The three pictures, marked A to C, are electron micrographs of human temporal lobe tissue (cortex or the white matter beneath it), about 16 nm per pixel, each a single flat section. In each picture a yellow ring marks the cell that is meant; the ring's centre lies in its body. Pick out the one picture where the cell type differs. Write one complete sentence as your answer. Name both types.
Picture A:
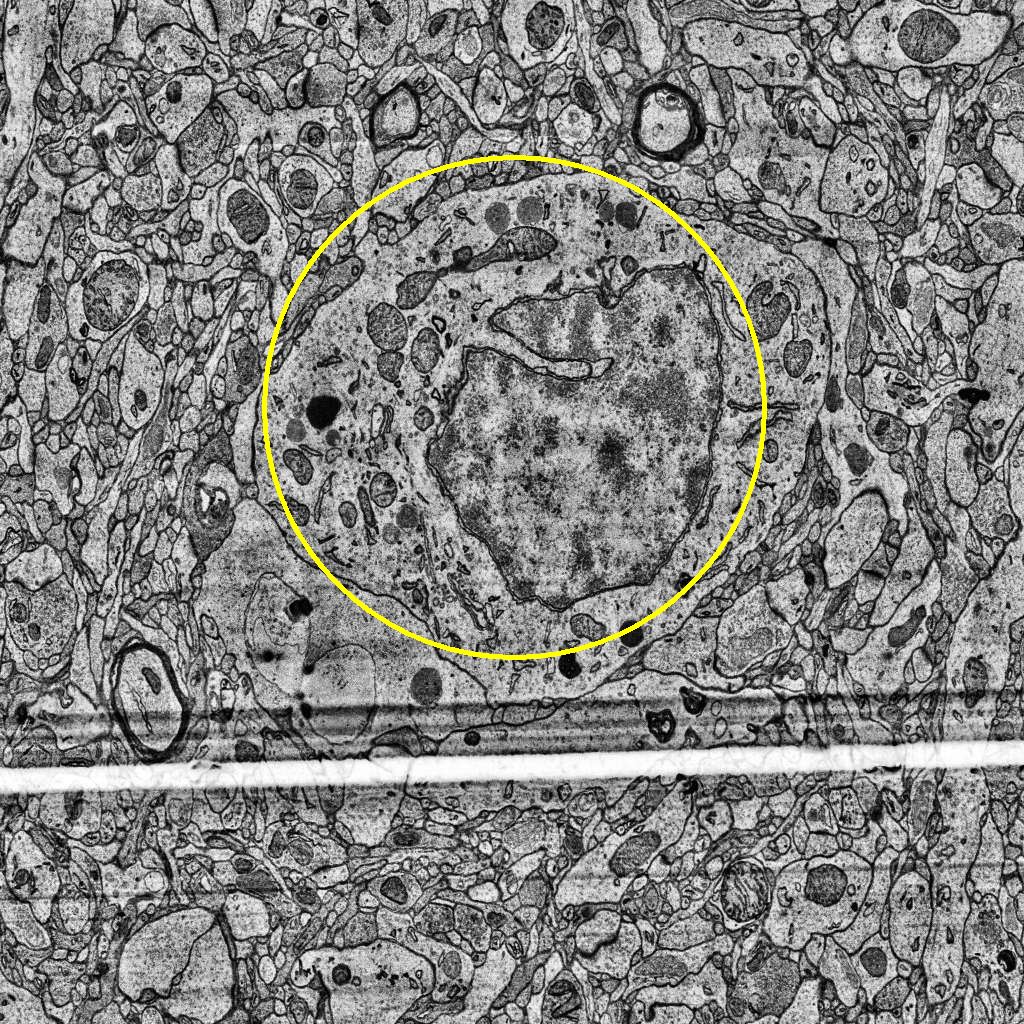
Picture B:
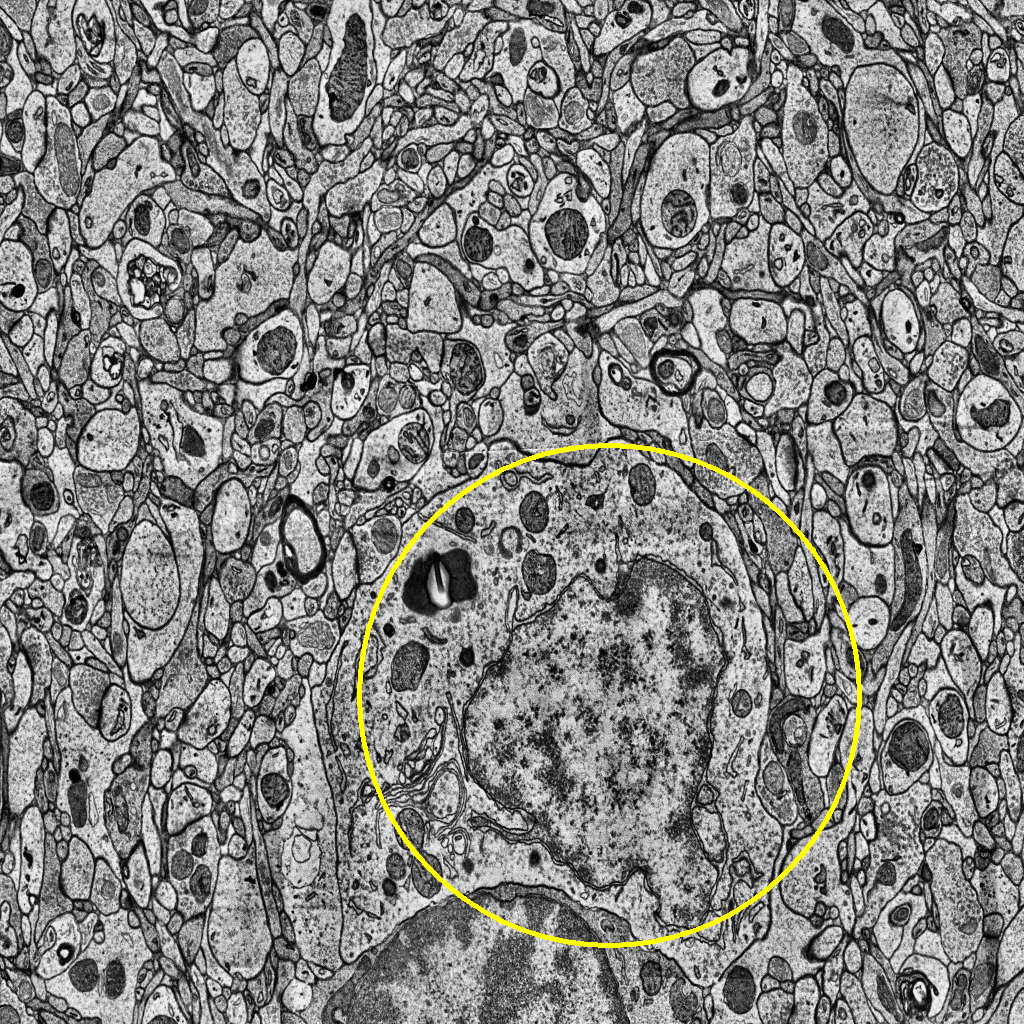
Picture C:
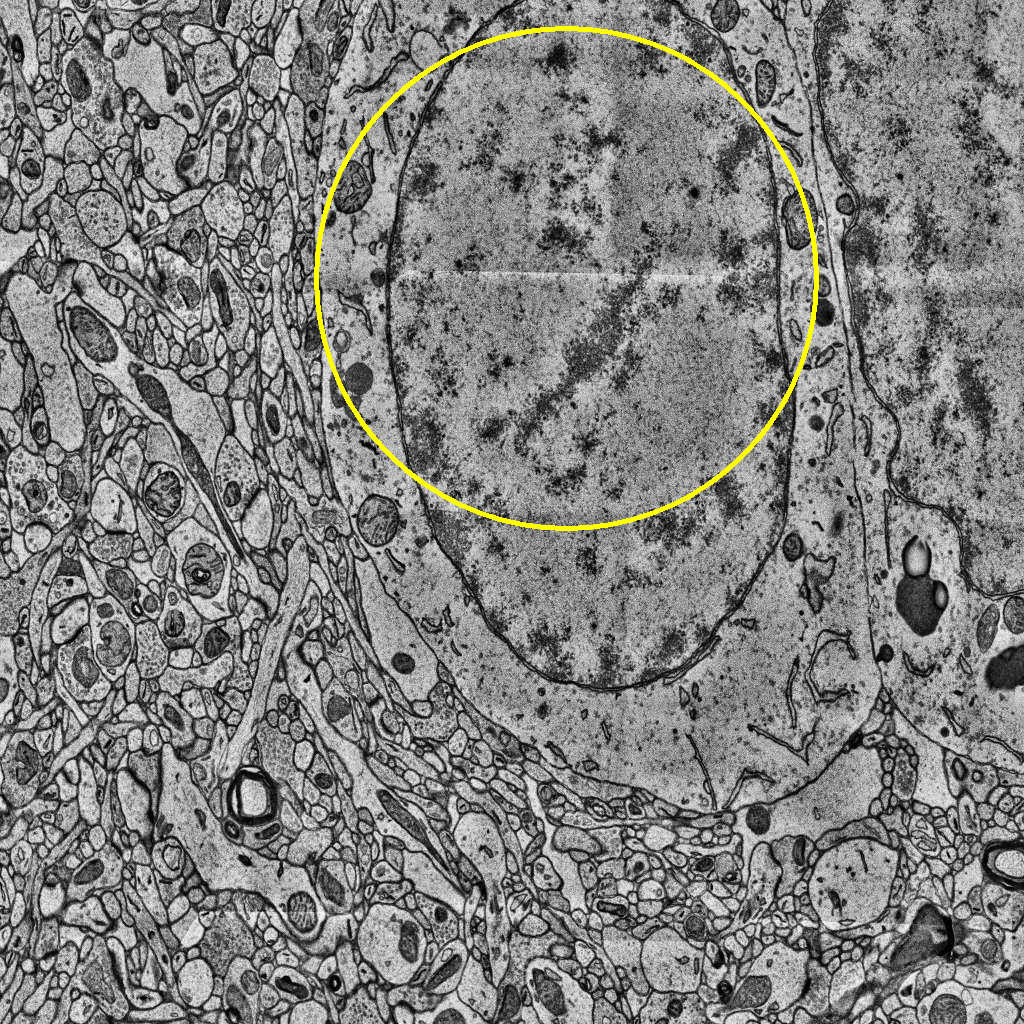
The different one is picture C; it shows a pyramidal neuron, whereas all the others show interneurons.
